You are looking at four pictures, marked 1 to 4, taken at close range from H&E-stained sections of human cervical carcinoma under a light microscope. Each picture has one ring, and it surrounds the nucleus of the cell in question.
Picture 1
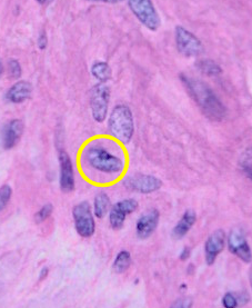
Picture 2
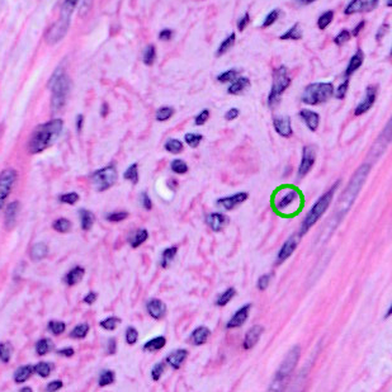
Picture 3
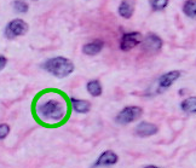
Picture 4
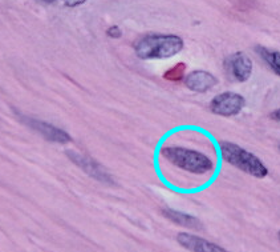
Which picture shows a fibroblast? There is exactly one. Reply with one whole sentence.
The fibroblast is the one in picture 4.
